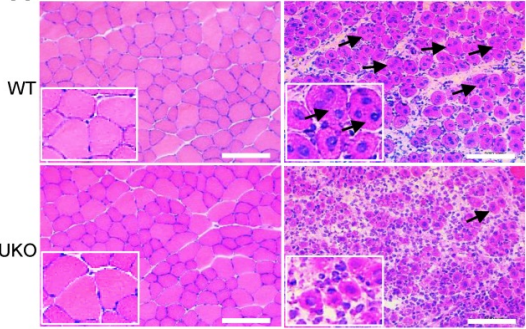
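Cross-sections of skeletal muscle stained pink with hematoxylin and eosin, showing myofibers before and during regeneration. Where fewer rounded fibers have formed, the tissue is dominated by these scattered mononuclear cells and irregular pink fragments.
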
